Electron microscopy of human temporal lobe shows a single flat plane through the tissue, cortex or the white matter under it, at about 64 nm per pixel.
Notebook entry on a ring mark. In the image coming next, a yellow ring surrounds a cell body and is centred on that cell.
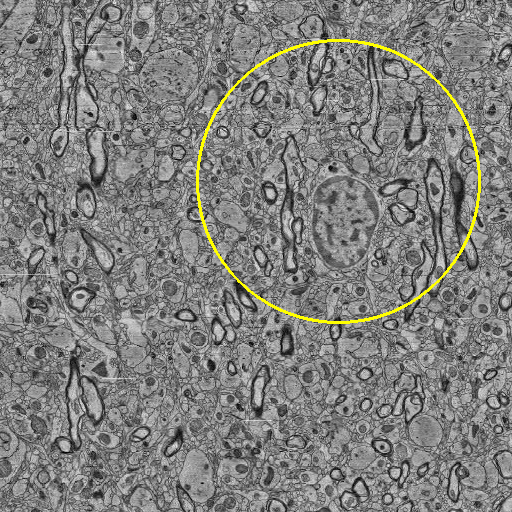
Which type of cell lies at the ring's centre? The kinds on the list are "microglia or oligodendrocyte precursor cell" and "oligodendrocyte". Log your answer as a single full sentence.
Centred in the yellow ring is a microglial cell or oligodendrocyte precursor cell, the cell recorded for this image.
